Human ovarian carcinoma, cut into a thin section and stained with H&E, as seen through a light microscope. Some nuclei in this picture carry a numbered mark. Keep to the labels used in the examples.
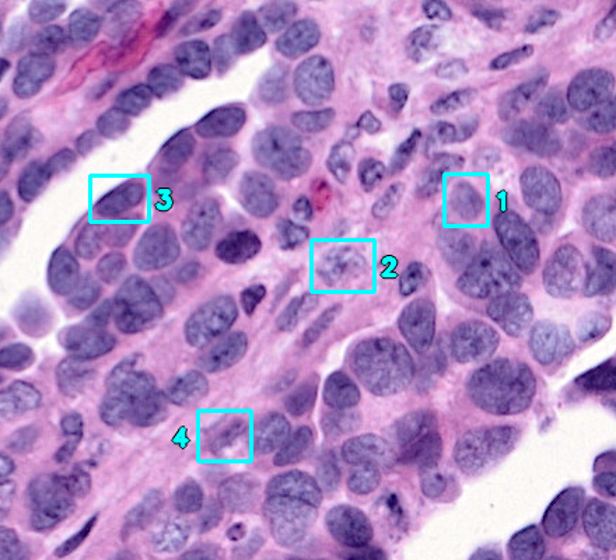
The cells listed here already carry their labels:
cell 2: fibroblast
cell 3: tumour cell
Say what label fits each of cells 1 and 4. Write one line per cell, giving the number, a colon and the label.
1: tumour cell
4: fibroblast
